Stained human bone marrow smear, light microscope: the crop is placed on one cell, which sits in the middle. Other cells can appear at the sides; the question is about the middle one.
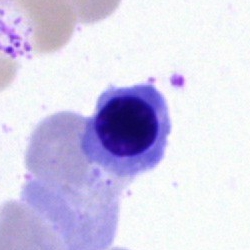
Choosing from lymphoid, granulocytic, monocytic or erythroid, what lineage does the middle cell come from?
erythroid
